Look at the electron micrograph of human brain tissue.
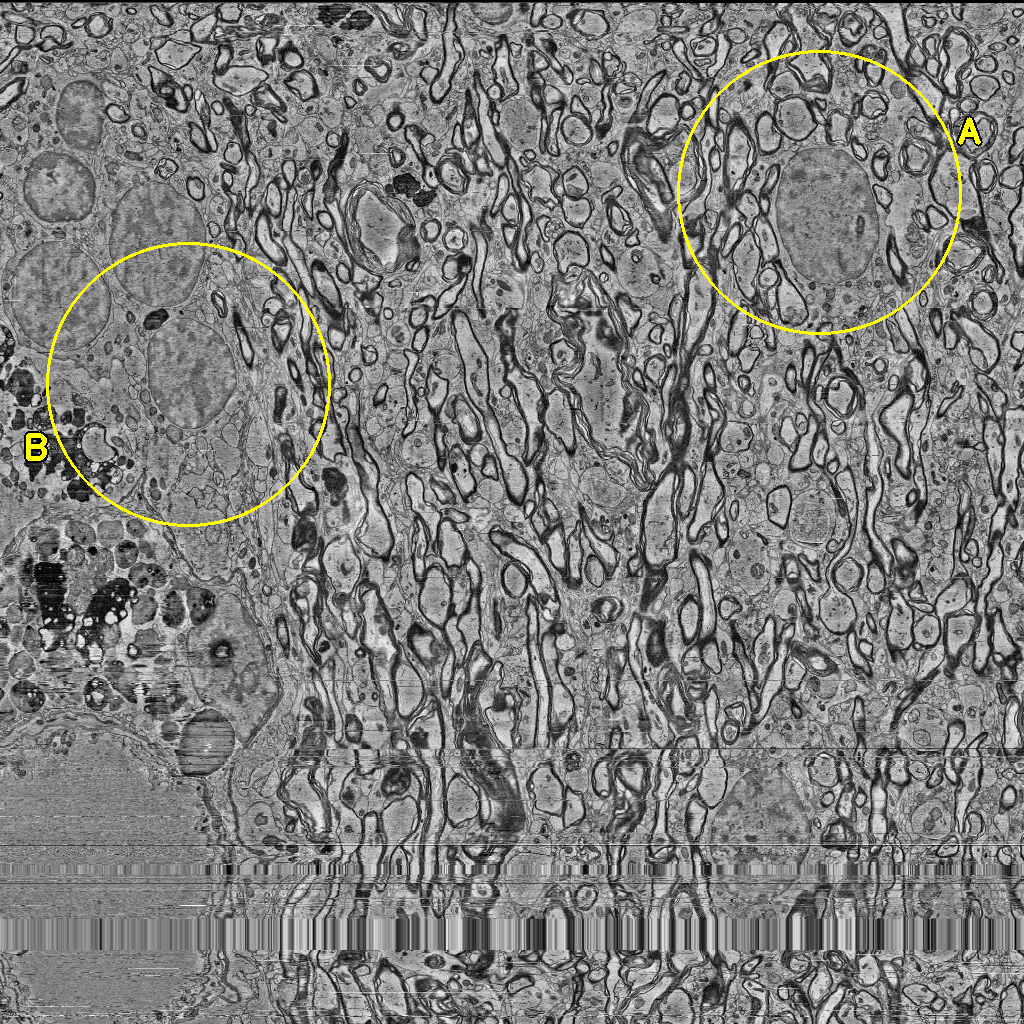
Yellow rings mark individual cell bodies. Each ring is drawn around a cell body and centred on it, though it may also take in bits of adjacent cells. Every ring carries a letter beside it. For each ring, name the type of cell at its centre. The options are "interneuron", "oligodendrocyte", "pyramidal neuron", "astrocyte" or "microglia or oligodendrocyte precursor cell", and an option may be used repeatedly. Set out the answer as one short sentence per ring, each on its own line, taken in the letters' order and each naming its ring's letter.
Ring A is drawn around an oligodendrocyte.
Ring B is drawn around an oligodendrocyte.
